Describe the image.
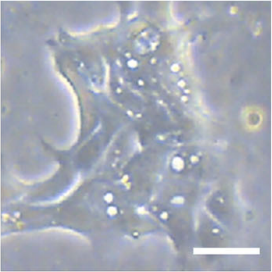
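Several cells lie close together as a loose cluster with no sharp borders between them. Their cytoplasm is thin, pale and grey, and it extends into broad, irregular lamellar sheets and short processes at the margins. Many small round, bright, refractile granules or droplets are scattered over the cells. Individual cell outlines are faint because the cells are flattened and spread out across the substrate rather than rounded up.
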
